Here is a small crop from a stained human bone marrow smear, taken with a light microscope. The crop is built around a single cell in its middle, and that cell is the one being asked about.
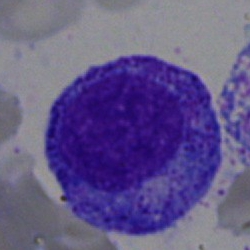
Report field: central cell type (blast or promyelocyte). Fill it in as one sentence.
Centrally within this crop lies a promyelocyte.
